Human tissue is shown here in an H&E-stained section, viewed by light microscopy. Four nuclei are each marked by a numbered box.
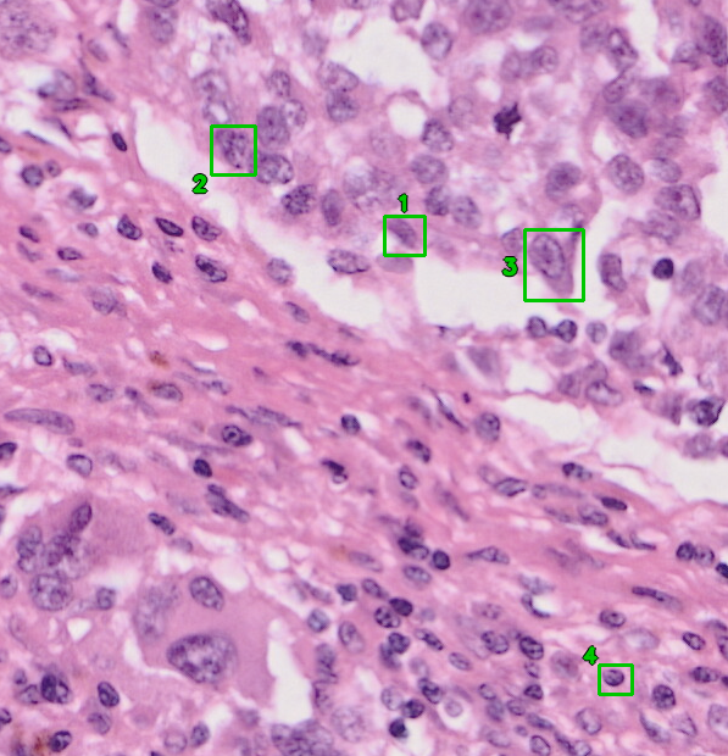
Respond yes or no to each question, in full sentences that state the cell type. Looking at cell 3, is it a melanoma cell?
Yes, the cell carrying number 3 is a melanoma cell.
